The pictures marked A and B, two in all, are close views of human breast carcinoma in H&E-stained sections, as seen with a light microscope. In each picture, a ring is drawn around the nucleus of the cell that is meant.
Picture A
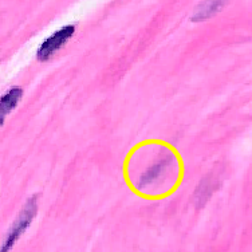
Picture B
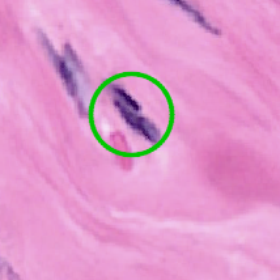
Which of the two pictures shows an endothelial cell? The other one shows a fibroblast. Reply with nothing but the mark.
B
